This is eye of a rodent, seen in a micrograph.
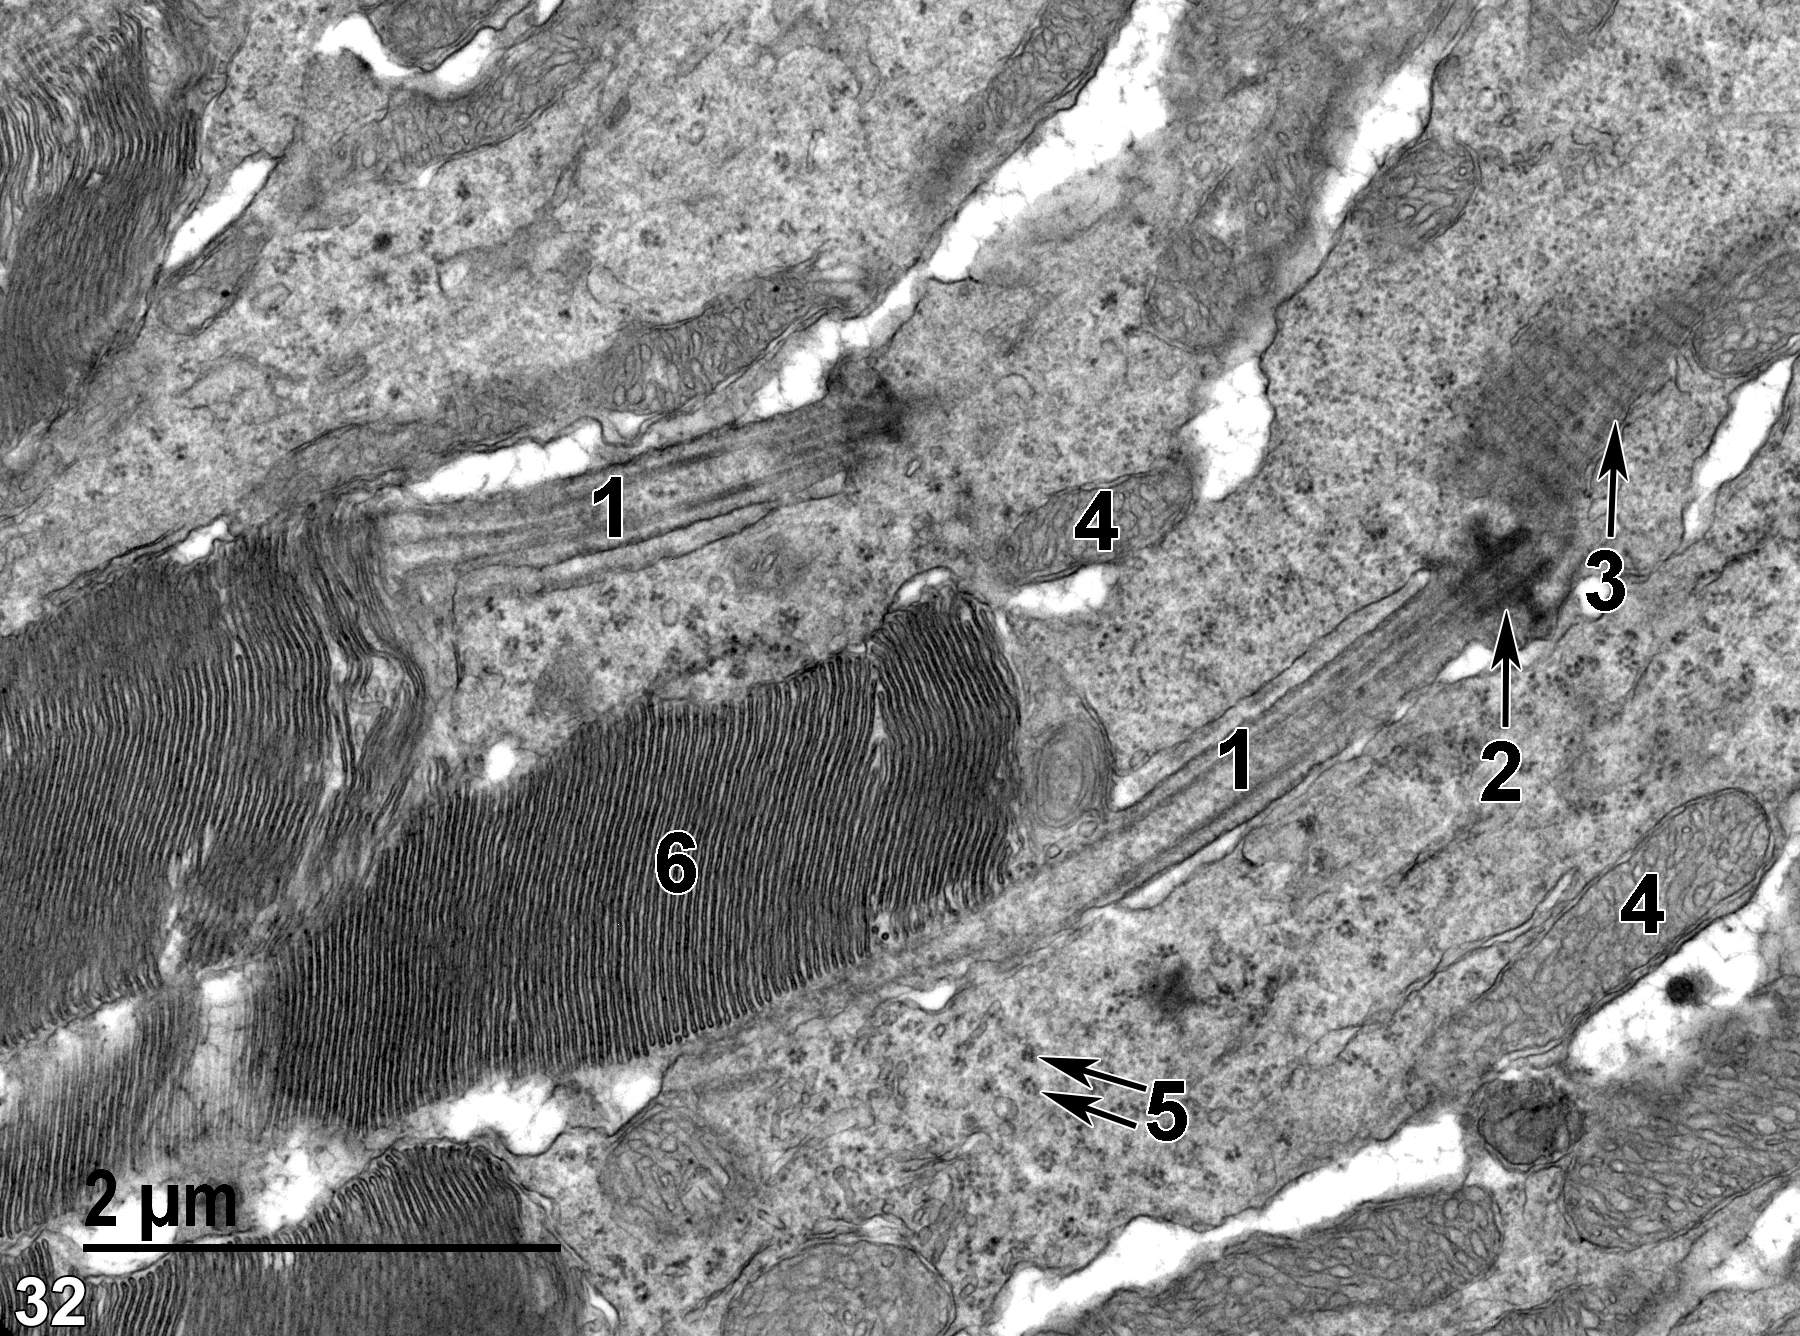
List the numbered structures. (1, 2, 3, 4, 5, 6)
1. modified cilium
2. basal body
3. rootlet
4. mitochondria
5. polysomes
6. membranous discs of the outer segment of rods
